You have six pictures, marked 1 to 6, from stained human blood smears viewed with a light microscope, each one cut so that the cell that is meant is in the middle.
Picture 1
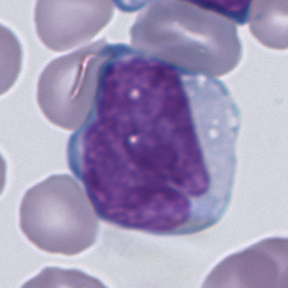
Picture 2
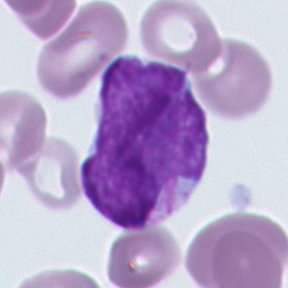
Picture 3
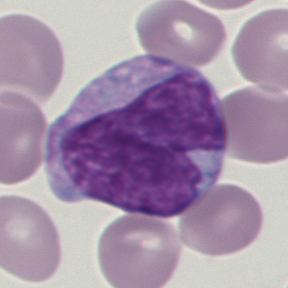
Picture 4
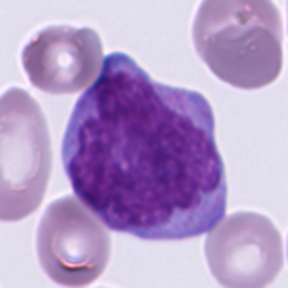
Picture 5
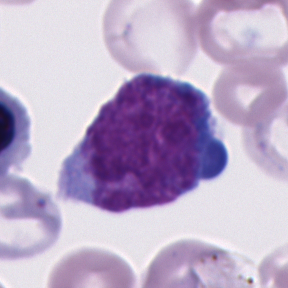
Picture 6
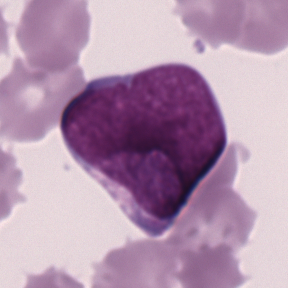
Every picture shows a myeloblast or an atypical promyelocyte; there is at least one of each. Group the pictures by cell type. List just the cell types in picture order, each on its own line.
myeloblast
atypical promyelocyte
atypical promyelocyte
atypical promyelocyte
myeloblast
myeloblast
